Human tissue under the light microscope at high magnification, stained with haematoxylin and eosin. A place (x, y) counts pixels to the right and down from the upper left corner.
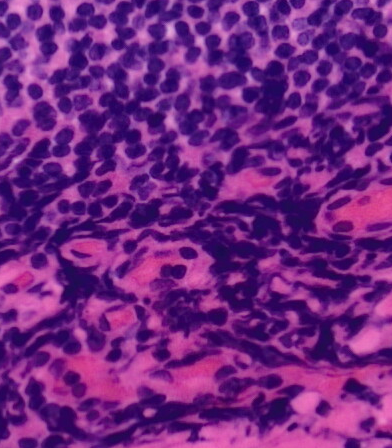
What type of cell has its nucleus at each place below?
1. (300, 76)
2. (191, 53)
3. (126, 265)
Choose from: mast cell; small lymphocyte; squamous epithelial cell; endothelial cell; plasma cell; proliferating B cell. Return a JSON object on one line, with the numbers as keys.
{"1": "small lymphocyte", "2": "small lymphocyte", "3": "endothelial cell"}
